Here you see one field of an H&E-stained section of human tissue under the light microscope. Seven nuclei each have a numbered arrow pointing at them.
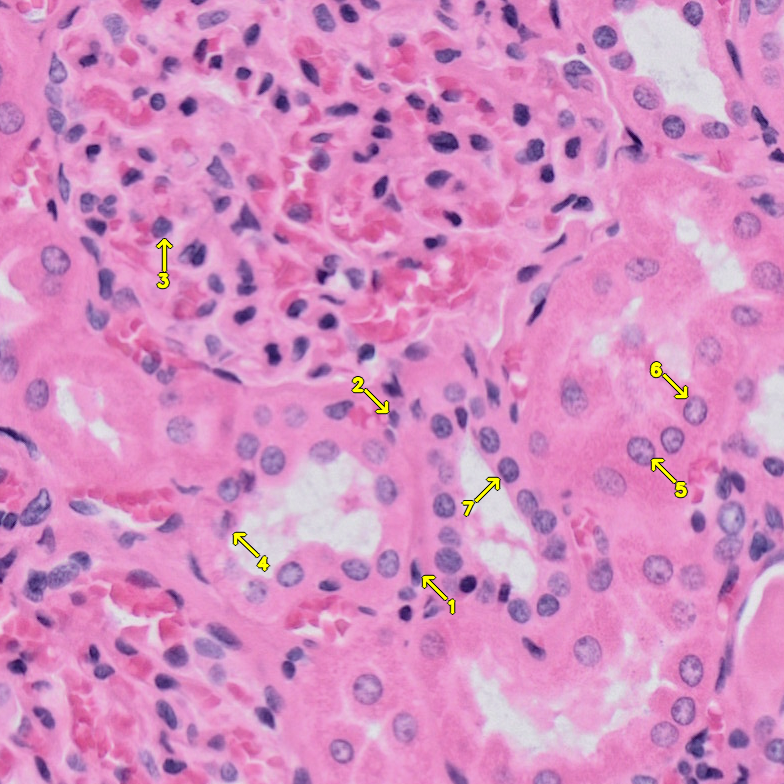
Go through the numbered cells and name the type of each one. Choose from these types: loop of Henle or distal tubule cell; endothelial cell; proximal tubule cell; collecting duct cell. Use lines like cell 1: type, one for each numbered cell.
cell 1: endothelial cell
cell 2: endothelial cell
cell 3: endothelial cell
cell 4: loop of Henle or distal tubule cell
cell 5: proximal tubule cell
cell 6: proximal tubule cell
cell 7: collecting duct cell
